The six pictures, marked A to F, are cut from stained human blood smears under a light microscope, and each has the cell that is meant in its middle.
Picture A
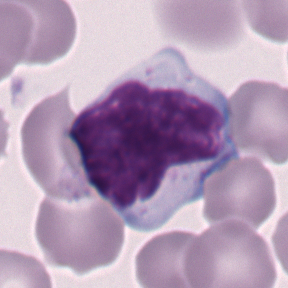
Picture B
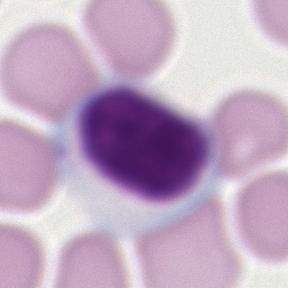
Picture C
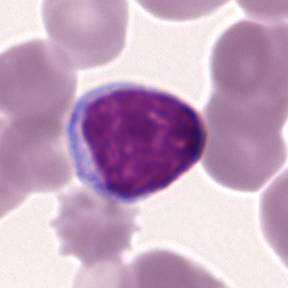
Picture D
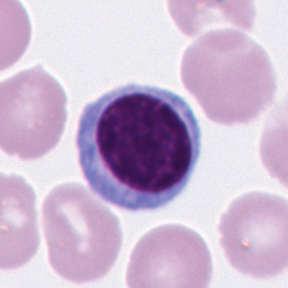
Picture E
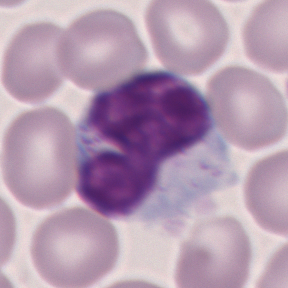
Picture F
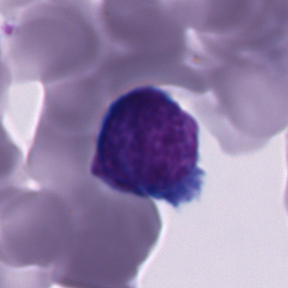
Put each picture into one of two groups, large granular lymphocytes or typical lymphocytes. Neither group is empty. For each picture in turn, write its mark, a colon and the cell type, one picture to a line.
A: large granular lymphocyte
B: typical lymphocyte
C: large granular lymphocyte
D: typical lymphocyte
E: large granular lymphocyte
F: typical lymphocyte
